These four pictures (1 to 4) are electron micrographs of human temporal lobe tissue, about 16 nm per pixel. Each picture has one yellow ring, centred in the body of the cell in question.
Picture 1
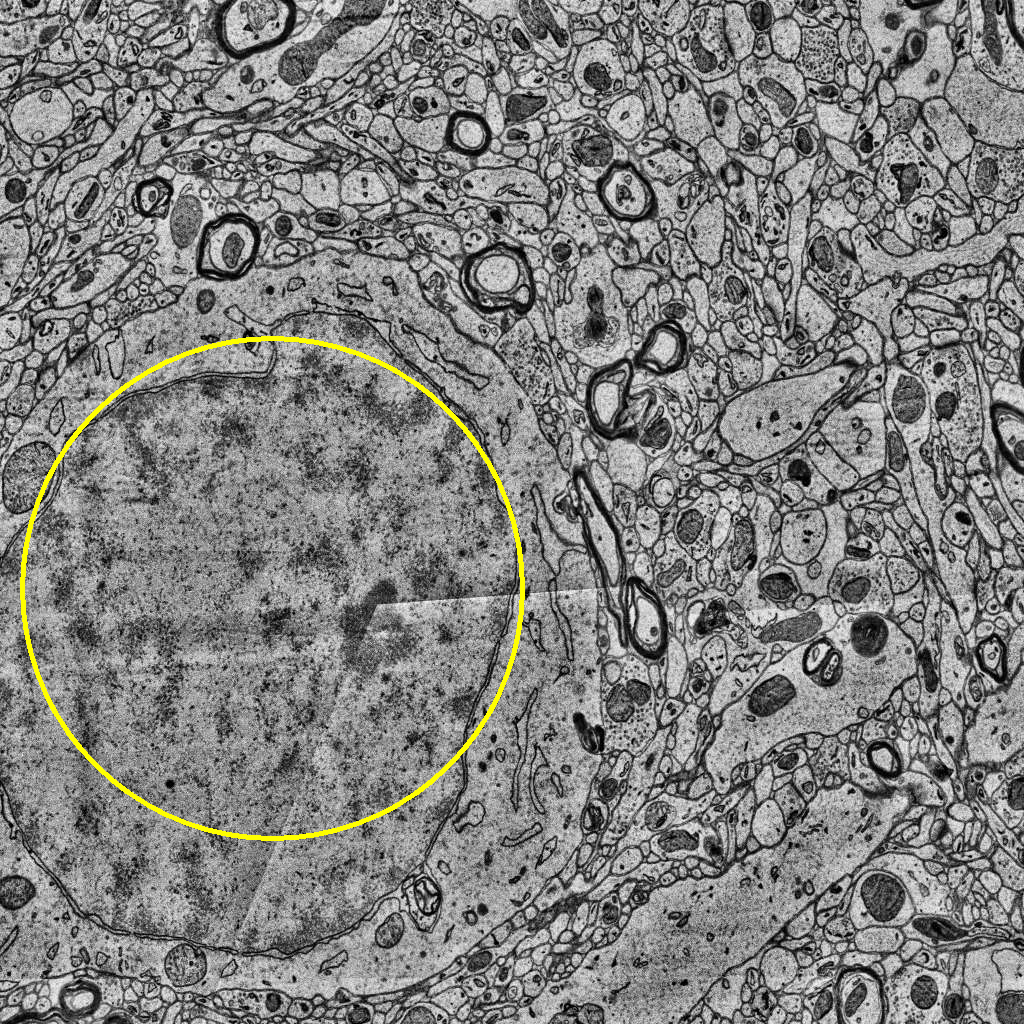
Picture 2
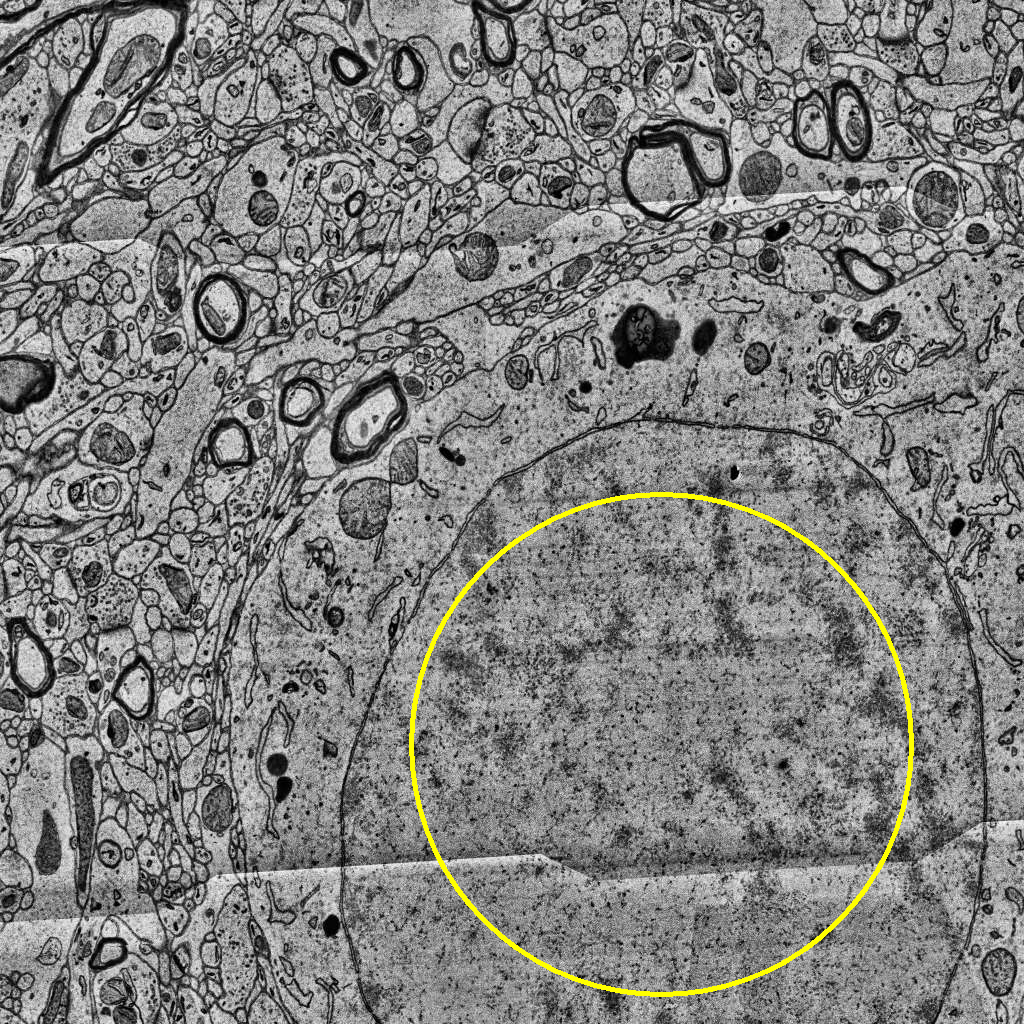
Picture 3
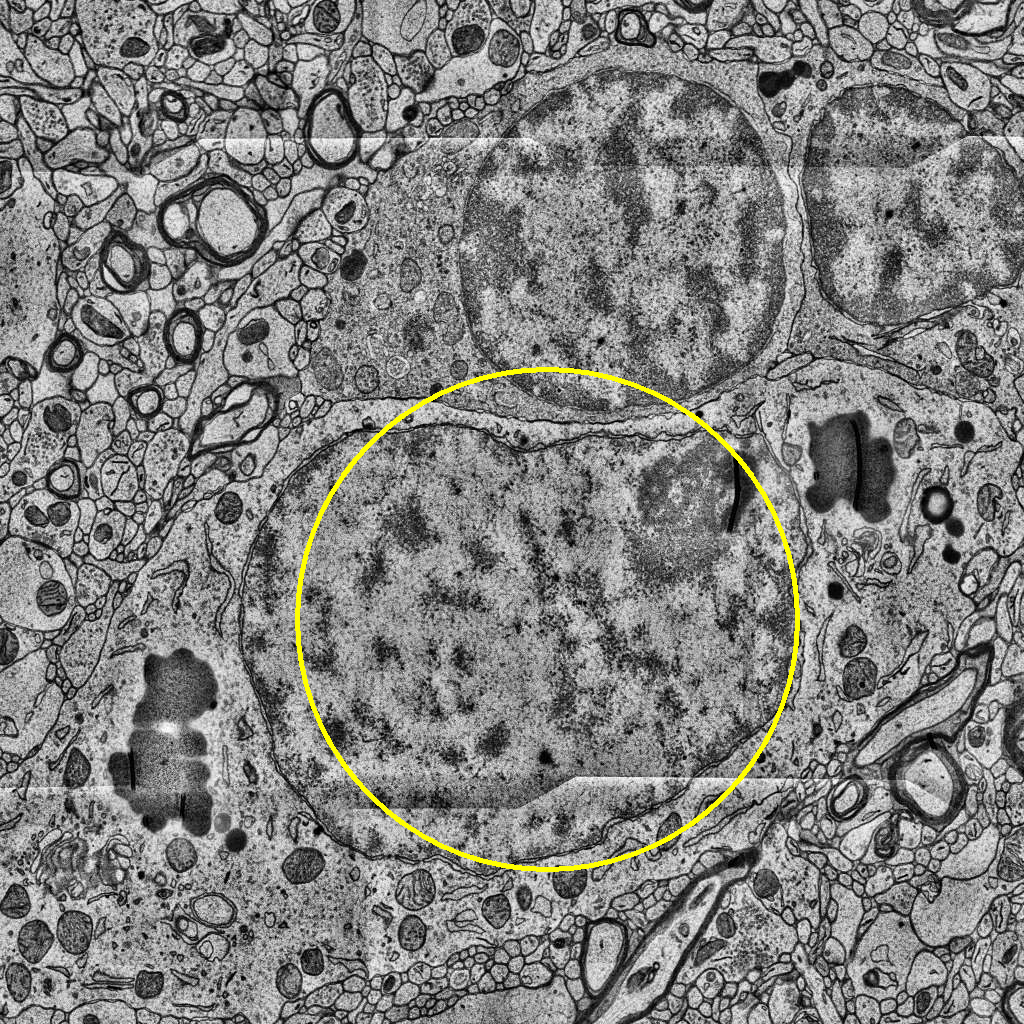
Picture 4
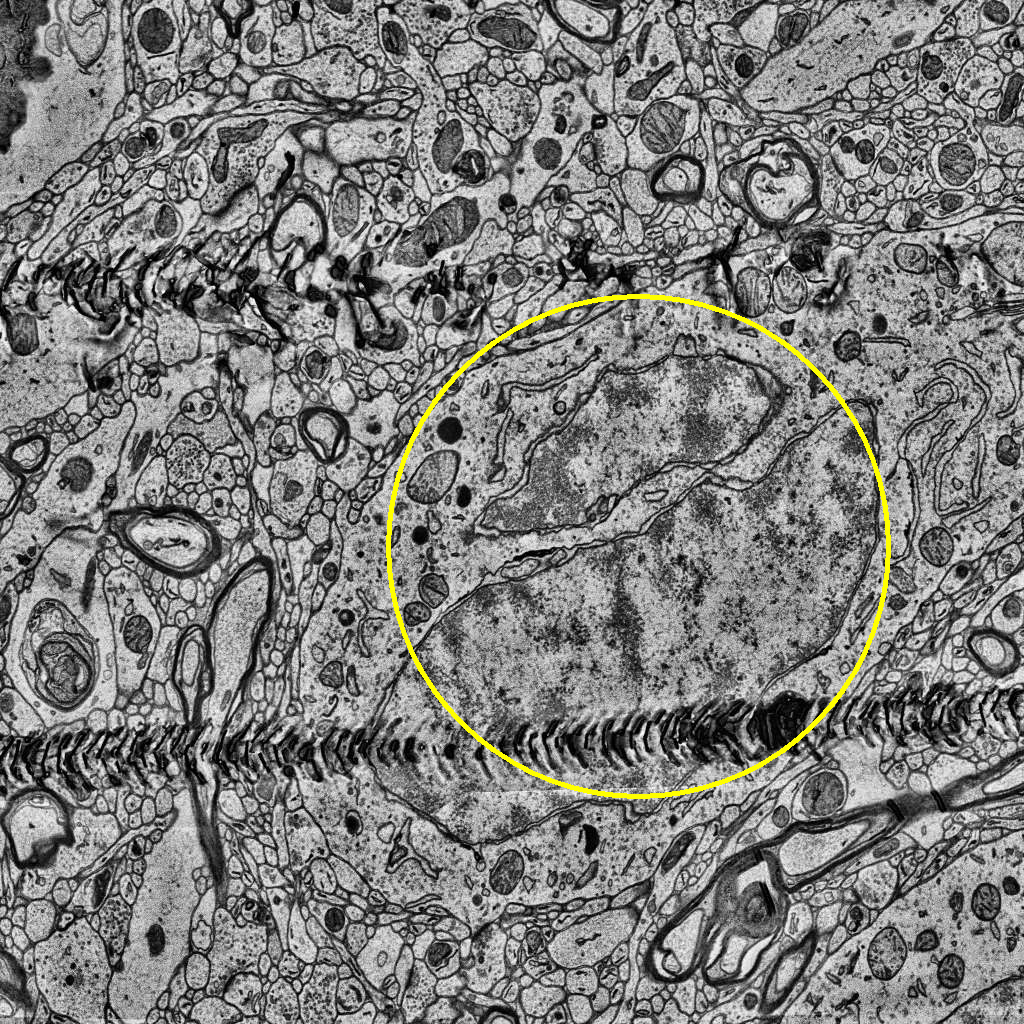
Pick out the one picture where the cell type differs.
All pictures except 2 show interneurons; picture 2 shows a pyramidal neuron.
